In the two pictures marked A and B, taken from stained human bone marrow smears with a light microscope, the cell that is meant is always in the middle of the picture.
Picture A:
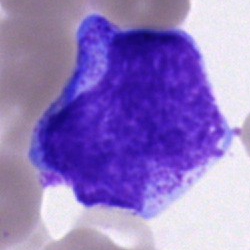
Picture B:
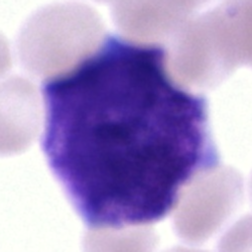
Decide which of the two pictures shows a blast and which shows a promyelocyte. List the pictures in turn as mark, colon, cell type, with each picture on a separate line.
A: promyelocyte
B: blast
